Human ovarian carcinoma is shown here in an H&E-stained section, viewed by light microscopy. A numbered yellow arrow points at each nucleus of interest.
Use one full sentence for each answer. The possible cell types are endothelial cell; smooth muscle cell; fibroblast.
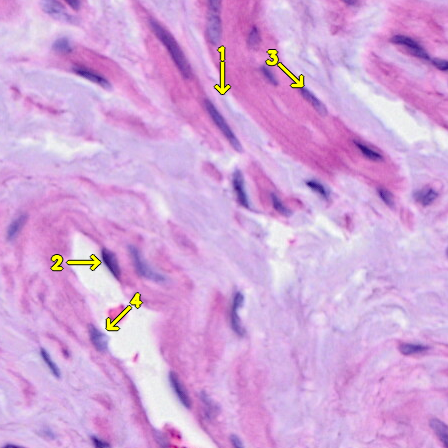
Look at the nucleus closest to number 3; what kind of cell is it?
It is a smooth muscle cell whose nucleus is nearest to number 3.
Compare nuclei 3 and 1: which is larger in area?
Nucleus 1 is larger, with an area about 2 times that of nucleus 3.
